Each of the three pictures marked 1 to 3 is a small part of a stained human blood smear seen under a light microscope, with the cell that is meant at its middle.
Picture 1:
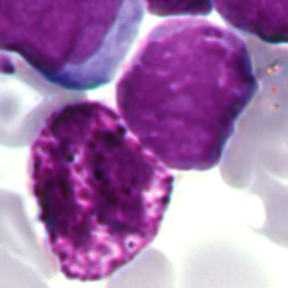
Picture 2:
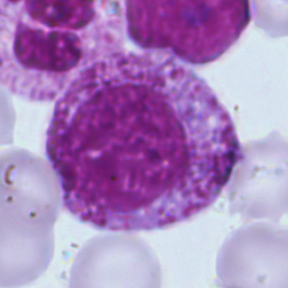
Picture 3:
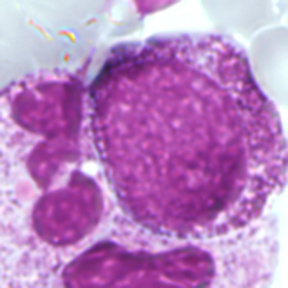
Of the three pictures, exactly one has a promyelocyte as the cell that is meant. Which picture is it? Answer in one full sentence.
It is picture 3 that shows the promyelocyte.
